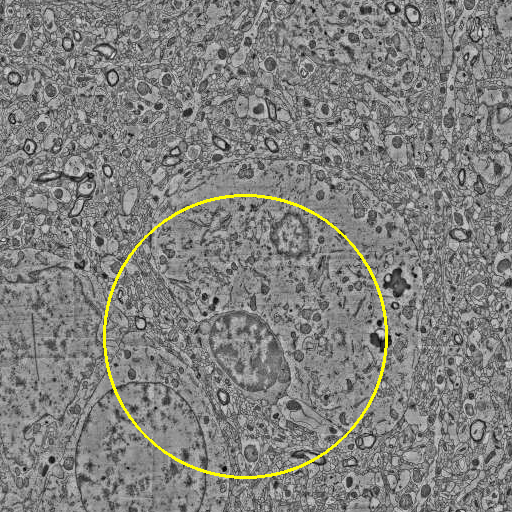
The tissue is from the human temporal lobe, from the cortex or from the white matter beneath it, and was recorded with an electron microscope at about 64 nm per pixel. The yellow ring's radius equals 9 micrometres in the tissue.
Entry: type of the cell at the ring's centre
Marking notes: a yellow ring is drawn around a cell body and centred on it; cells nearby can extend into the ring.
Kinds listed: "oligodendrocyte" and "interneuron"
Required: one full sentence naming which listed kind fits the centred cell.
My entry names an oligodendrocyte as the cell whose body the yellow ring centres on.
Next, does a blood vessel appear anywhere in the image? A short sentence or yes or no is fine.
No, none shows.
